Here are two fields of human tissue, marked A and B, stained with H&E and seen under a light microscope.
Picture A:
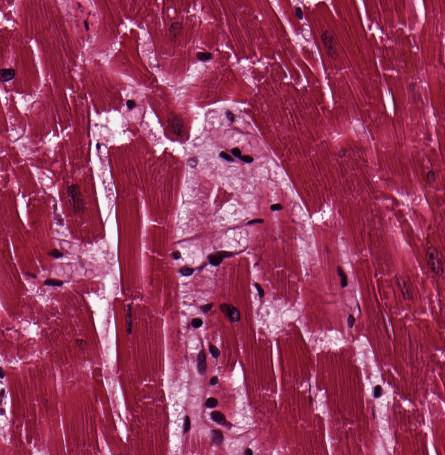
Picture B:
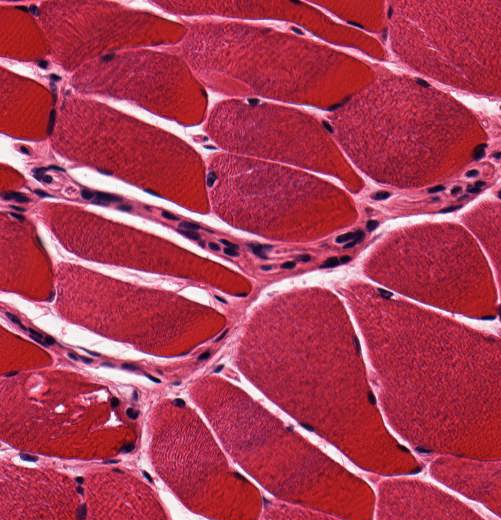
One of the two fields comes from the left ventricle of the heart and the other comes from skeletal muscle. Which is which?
A: left ventricle of the heart
B: skeletal muscle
